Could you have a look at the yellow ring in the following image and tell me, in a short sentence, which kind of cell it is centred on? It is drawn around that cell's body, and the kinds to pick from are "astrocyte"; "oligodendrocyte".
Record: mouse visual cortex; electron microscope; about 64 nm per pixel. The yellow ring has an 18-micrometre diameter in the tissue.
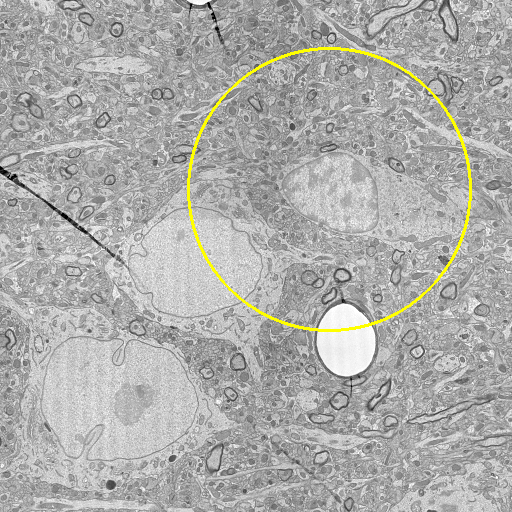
The ring is centred on the body of an oligodendrocyte.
